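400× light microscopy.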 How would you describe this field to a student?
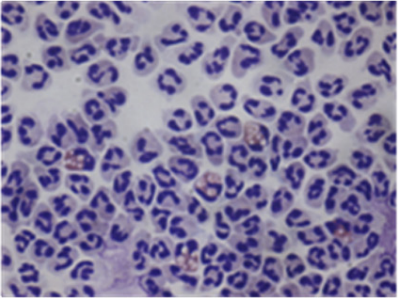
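Crowded round cells of even size fill the field, each with a dark purple nucleus split into several connected lobes set in pale lilac cytoplasm. A few scattered cells stand out by reddish-pink granular cytoplasm.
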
